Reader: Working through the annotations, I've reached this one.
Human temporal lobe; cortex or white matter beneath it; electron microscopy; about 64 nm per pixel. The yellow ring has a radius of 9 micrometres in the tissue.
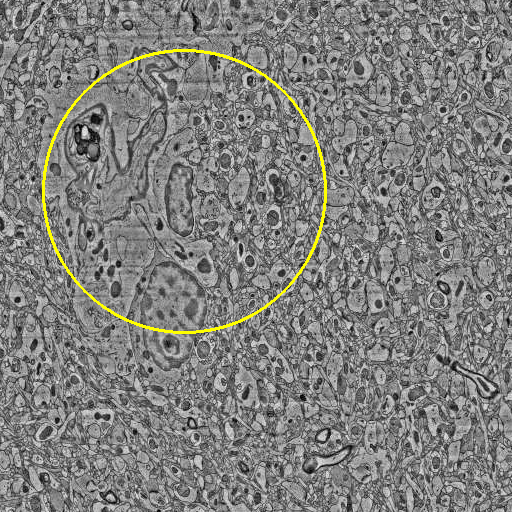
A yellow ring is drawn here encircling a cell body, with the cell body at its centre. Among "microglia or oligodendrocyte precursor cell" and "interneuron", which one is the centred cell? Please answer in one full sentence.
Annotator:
The cell body at the centre of the yellow ring in this image belongs to a microglial cell or oligodendrocyte precursor cell.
